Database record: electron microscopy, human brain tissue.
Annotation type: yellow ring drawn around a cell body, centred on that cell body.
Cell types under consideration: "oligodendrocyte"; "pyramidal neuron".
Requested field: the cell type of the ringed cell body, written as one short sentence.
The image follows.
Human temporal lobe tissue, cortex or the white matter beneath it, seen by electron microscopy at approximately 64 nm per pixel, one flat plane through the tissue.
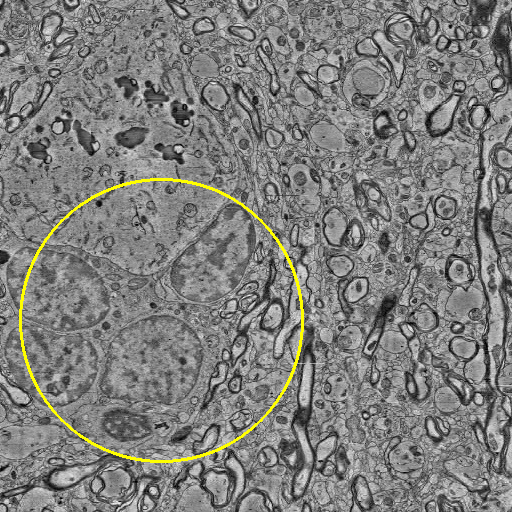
The ringed cell body represents an oligodendrocyte.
